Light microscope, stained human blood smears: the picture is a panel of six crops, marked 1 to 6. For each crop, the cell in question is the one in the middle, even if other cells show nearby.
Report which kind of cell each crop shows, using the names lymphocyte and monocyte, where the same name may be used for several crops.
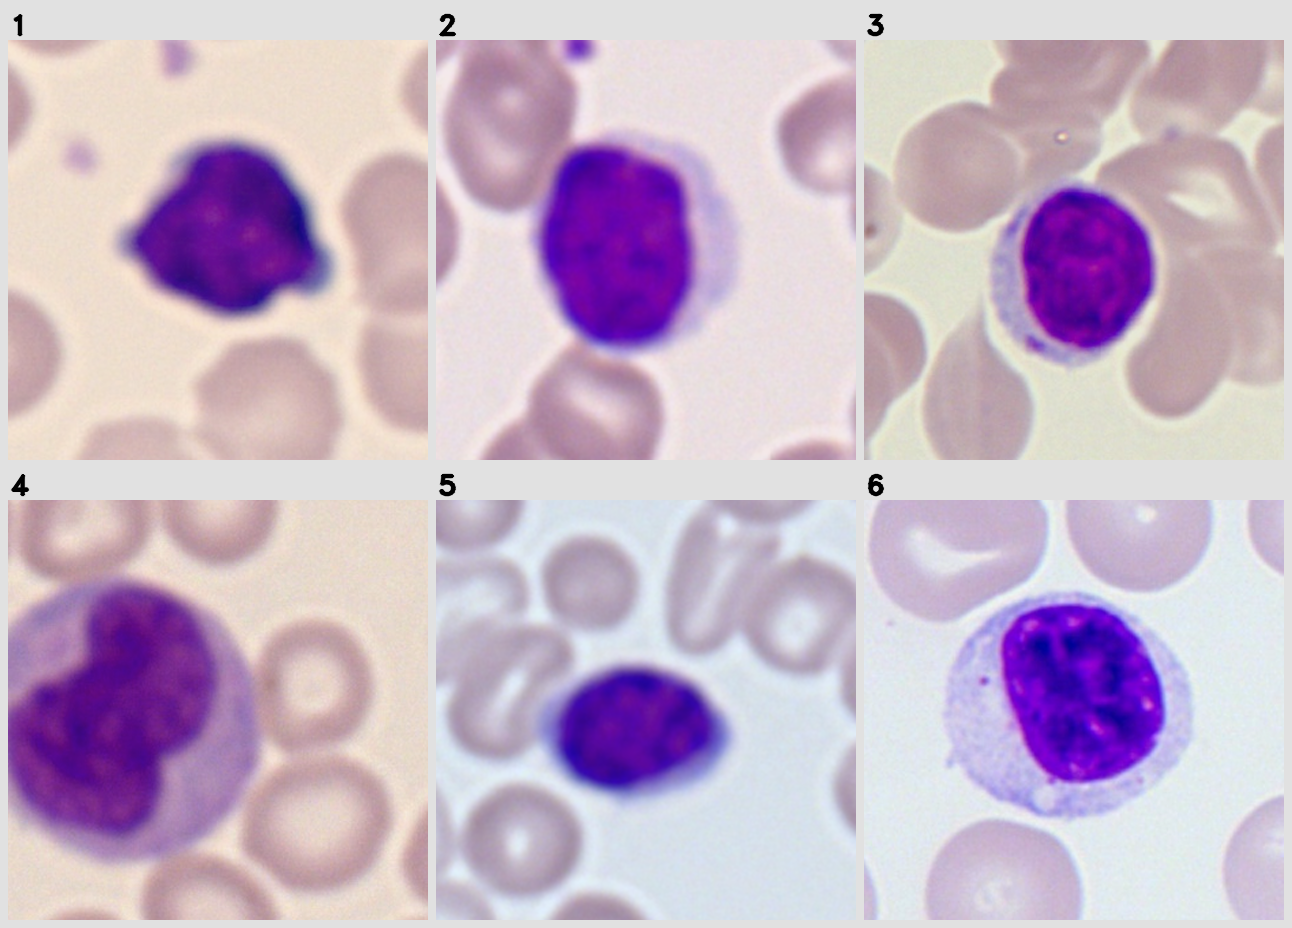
1: lymphocyte
2: lymphocyte
3: lymphocyte
4: monocyte
5: lymphocyte
6: lymphocyte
